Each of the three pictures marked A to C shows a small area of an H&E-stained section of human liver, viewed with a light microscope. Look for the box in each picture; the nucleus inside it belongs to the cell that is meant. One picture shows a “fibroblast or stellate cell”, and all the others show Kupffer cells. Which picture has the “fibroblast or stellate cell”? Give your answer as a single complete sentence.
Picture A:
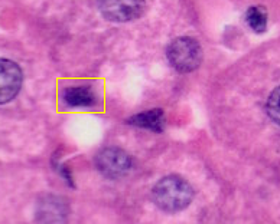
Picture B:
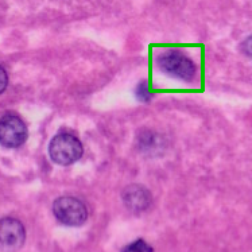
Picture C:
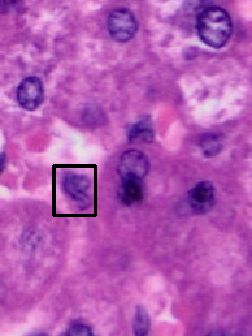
Picture A shows the “fibroblast or stellate cell”.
